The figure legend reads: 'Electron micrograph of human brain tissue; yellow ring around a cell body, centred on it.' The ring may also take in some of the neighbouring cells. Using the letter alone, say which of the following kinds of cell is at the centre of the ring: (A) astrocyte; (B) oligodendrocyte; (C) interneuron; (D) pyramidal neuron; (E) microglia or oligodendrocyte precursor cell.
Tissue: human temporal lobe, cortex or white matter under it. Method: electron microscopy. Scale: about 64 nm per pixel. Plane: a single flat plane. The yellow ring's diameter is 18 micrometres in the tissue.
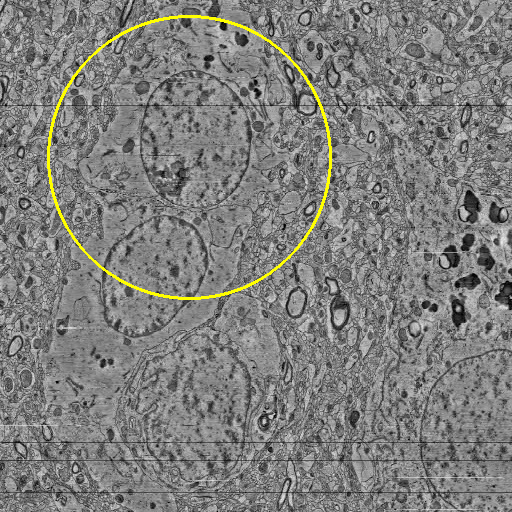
A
